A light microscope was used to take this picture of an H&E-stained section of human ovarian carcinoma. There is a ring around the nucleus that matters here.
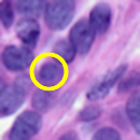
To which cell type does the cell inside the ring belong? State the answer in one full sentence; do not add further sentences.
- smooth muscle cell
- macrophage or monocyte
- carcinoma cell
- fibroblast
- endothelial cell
Recorded by type, the cell inside the ring is a carcinoma cell.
